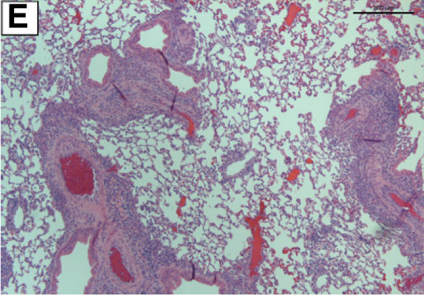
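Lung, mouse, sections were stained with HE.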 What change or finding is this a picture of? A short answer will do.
Infiltrates in the perivascular region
